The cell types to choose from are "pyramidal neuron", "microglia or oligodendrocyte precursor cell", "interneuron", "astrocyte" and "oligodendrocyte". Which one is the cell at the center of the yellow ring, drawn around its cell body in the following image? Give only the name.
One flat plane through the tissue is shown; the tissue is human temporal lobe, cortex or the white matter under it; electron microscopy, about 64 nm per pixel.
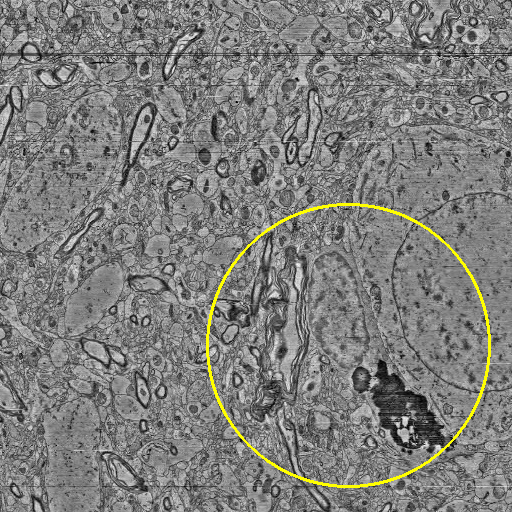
oligodendrocyte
